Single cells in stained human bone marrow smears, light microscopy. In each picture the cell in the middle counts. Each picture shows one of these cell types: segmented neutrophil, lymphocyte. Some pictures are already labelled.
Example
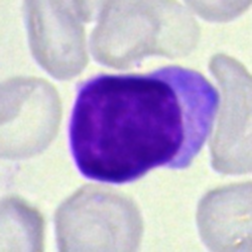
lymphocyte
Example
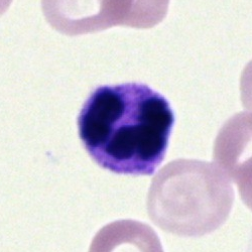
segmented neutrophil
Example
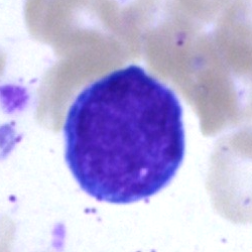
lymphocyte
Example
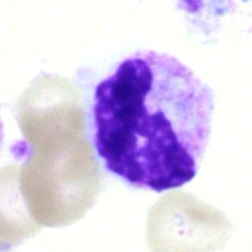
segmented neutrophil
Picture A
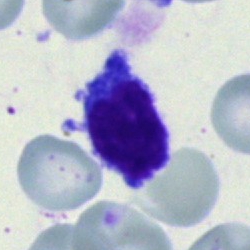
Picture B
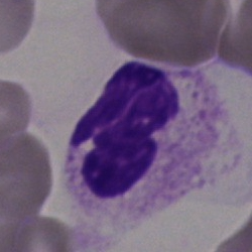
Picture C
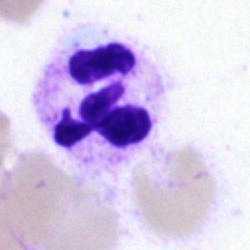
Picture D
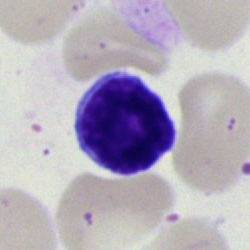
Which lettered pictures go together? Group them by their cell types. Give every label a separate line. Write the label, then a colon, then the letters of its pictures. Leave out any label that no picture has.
segmented neutrophil: B, C
lymphocyte: A, D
